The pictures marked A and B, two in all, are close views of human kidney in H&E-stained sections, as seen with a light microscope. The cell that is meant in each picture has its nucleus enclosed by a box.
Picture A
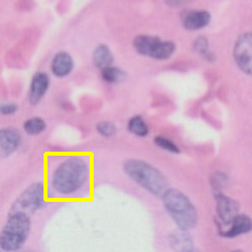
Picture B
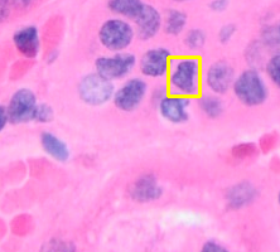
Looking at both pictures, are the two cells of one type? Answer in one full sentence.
Yes, both cells are collecting duct cells.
